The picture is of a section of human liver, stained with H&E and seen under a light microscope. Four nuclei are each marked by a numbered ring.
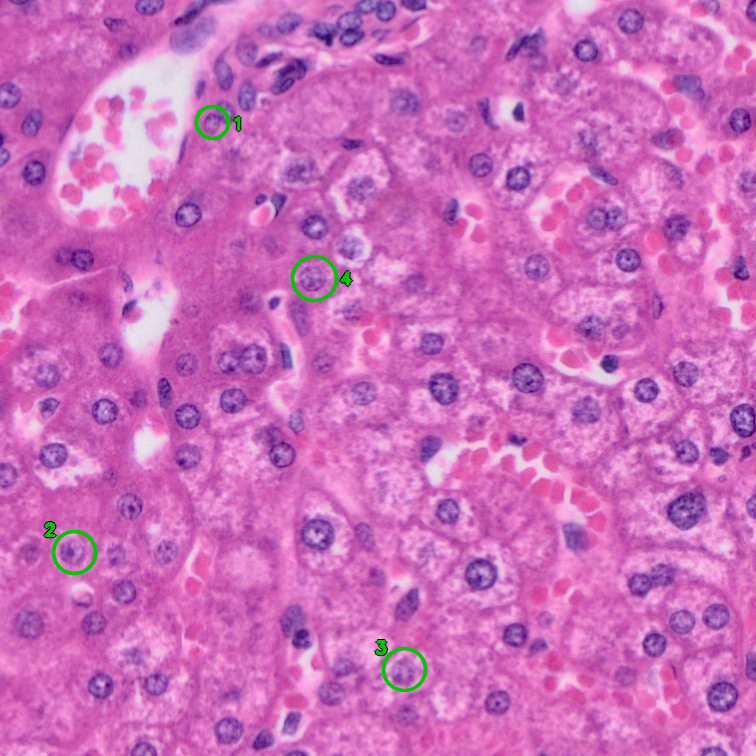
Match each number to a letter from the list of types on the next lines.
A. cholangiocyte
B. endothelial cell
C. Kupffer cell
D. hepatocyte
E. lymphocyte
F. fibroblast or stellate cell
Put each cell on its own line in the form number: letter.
1: A
2: D
3: D
4: D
